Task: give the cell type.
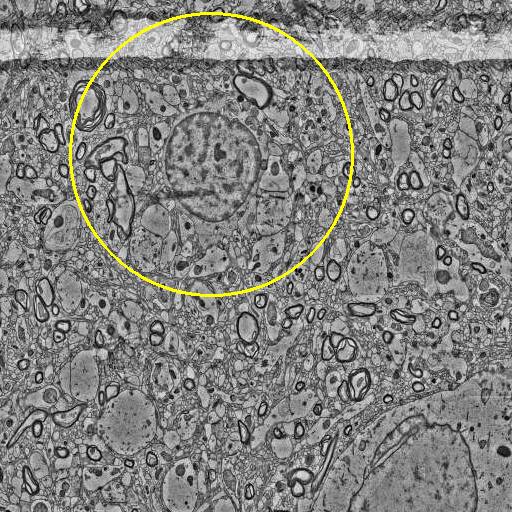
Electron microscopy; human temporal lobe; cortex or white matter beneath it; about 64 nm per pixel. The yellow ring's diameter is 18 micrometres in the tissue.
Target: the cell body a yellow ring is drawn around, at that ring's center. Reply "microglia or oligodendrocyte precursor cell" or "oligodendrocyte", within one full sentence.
In this picture, the cell whose body lies at the ring's center is an oligodendrocyte.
